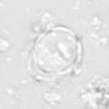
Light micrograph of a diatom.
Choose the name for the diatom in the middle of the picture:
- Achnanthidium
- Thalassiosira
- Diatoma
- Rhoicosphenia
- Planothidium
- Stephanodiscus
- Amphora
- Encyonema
Thalassiosira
